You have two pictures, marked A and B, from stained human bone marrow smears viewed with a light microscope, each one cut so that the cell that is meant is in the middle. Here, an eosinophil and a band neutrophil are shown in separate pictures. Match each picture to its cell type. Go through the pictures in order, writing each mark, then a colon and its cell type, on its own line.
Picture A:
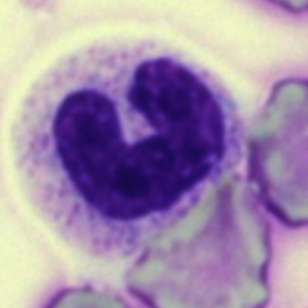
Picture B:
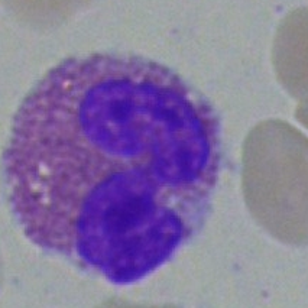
A: band neutrophil
B: eosinophil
